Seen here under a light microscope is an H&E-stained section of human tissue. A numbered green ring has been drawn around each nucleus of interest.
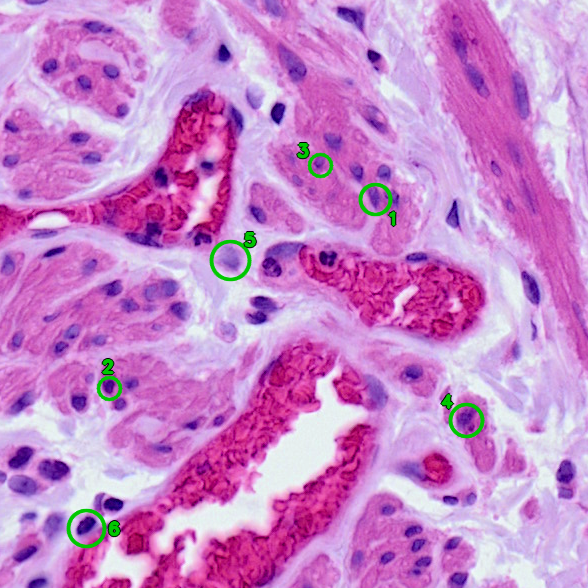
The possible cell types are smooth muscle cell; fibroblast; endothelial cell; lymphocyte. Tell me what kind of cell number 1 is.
smooth muscle cell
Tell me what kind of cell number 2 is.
smooth muscle cell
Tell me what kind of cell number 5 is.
fibroblast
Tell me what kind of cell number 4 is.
smooth muscle cell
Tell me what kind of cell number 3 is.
smooth muscle cell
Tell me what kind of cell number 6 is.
lymphocyte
